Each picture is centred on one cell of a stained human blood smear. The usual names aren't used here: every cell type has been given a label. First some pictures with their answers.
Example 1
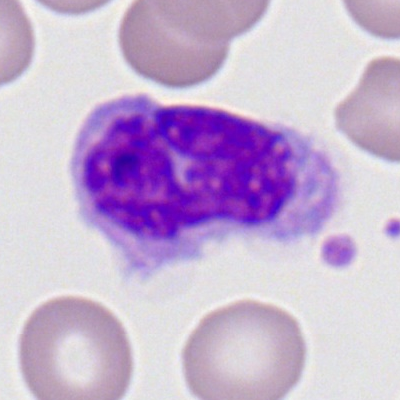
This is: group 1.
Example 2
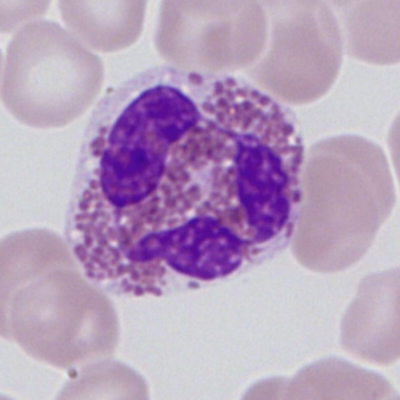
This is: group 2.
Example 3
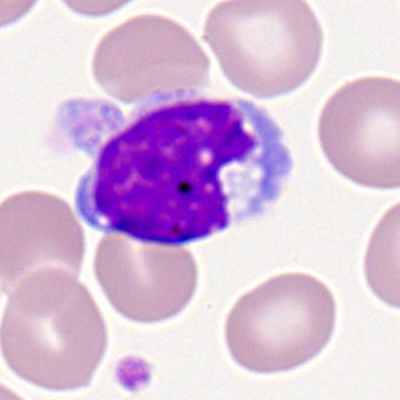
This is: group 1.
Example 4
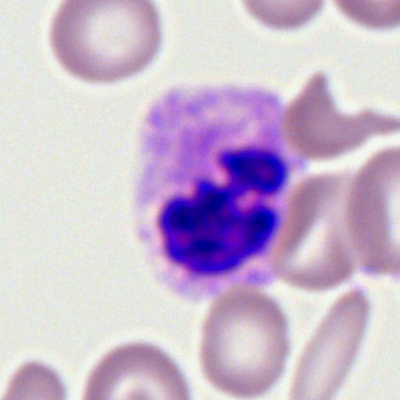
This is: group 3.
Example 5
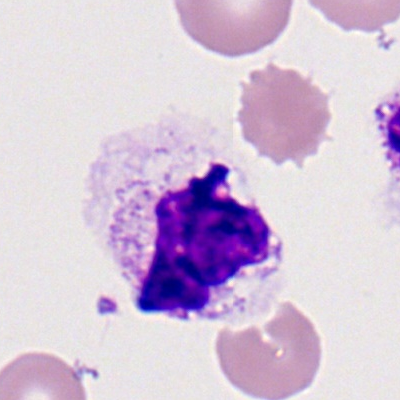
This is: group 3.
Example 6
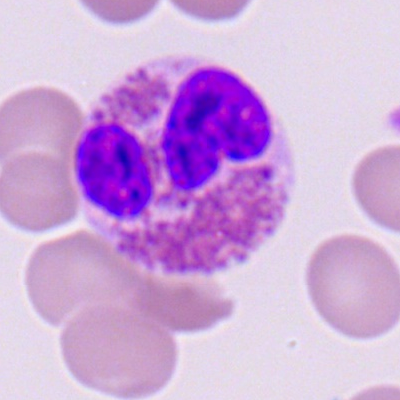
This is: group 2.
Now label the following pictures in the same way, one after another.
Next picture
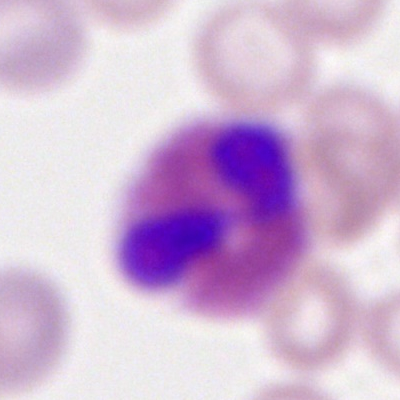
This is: group 2.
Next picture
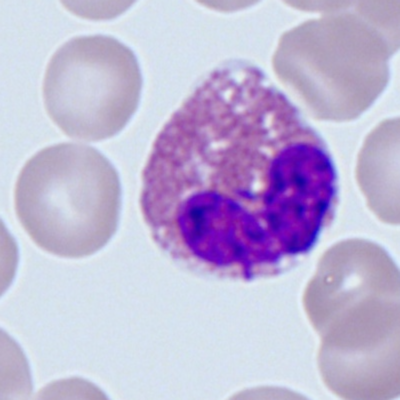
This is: group 2.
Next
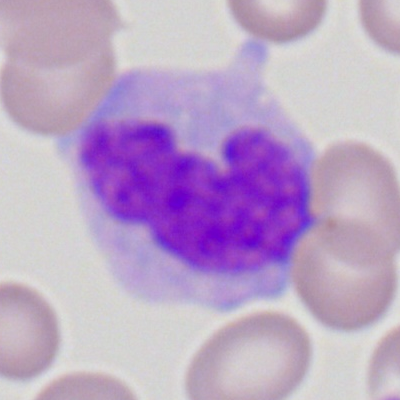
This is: group 1.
